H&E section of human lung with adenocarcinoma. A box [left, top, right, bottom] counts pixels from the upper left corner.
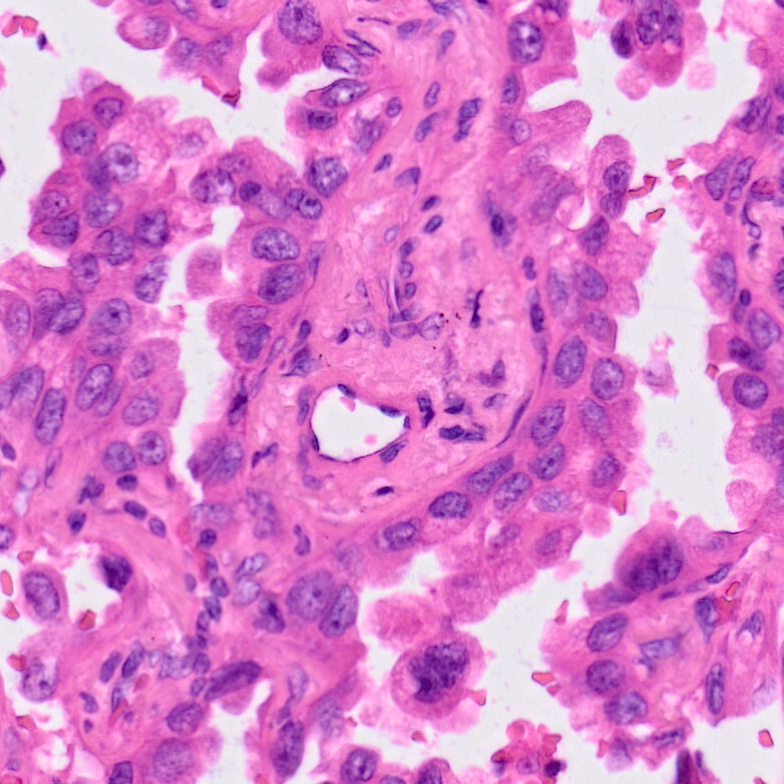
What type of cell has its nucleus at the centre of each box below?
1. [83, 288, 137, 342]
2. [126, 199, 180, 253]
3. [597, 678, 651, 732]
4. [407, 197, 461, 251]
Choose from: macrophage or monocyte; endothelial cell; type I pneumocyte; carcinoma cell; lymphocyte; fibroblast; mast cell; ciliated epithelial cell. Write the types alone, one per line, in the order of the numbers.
carcinoma cell
carcinoma cell
carcinoma cell
lymphocyte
